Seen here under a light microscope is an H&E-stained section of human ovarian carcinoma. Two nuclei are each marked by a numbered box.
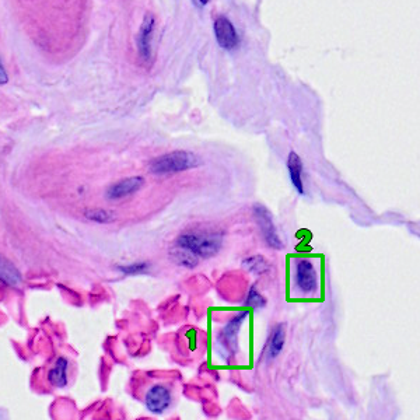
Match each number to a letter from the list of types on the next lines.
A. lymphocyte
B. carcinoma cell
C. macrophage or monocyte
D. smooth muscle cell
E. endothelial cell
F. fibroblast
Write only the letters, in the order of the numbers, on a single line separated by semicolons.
E; A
